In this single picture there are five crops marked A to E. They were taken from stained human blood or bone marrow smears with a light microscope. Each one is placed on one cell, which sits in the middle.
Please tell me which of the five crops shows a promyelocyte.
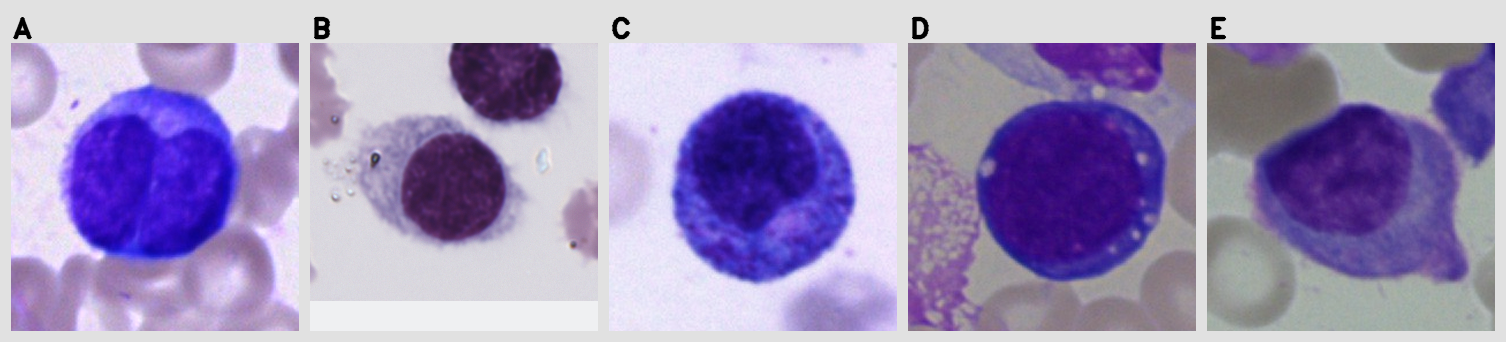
C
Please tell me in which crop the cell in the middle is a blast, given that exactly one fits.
D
